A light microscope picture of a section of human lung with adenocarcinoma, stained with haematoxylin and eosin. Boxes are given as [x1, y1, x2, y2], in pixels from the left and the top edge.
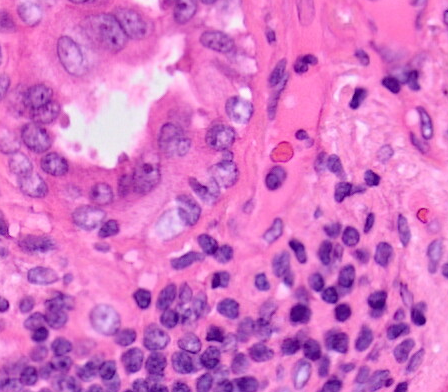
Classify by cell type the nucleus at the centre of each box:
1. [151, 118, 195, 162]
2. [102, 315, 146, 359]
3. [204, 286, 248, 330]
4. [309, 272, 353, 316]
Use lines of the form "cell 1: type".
cell 1: carcinoma cell
cell 2: lymphocyte
cell 3: lymphocyte
cell 4: lymphocyte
